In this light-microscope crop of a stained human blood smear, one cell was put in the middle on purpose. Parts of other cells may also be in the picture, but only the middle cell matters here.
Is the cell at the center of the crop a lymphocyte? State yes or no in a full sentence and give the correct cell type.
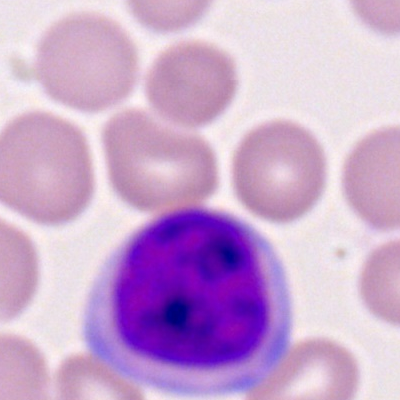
Yes, the cell sitting in the middle of this smear crop is a lymphocyte.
